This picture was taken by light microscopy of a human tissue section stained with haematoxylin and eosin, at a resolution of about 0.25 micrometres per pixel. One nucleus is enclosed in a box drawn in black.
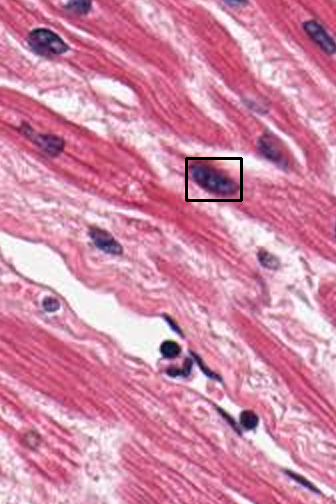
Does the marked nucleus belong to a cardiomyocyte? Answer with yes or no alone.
yes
